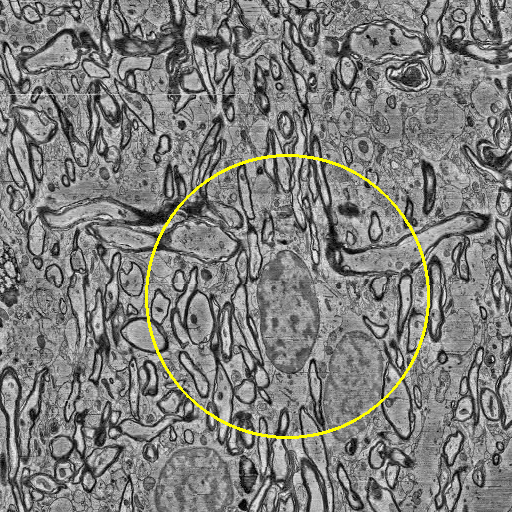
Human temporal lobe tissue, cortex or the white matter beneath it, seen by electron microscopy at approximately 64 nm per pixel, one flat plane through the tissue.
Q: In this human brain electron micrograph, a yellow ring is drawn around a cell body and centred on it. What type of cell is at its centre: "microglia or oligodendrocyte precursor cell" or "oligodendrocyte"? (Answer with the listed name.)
microglia or oligodendrocyte precursor cell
